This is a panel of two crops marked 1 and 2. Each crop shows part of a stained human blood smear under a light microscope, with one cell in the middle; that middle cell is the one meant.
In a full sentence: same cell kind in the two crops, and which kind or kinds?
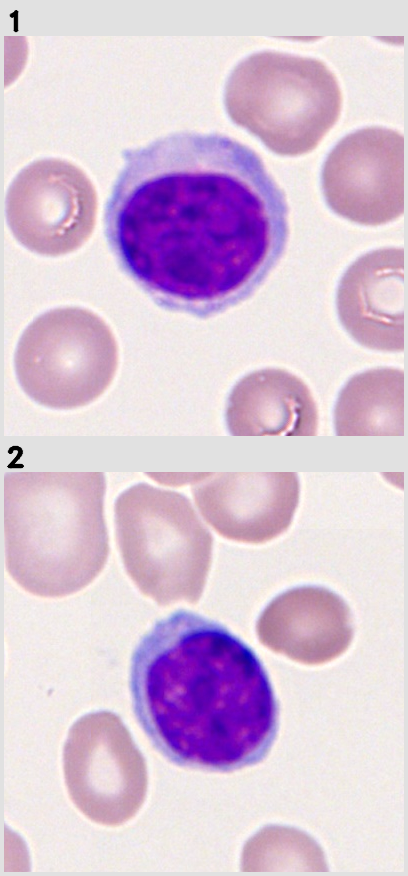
Yes, that is right, both crops show lymphocytes.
